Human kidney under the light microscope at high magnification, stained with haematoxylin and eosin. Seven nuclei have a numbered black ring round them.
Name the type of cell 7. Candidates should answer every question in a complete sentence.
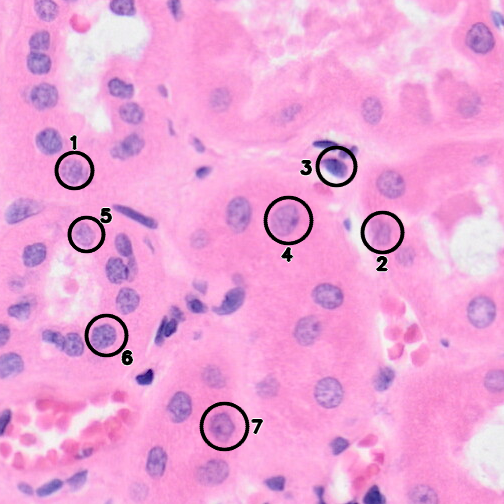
The cell carrying label 7 is identified as a proximal tubule cell.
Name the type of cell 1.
The nucleus marked 1 is the nucleus of a loop of Henle or distal tubule cell.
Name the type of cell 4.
The cell that goes by number 4 is a proximal tubule cell.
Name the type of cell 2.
Denoted by the label 2 in the section is a proximal tubule cell.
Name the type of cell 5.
The cell assigned the number 5 is a loop of Henle or distal tubule cell.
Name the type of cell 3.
The numbered cell 3 in this field is an endothelial cell.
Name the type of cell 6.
Cell 6 is classified as a loop of Henle or distal tubule cell.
